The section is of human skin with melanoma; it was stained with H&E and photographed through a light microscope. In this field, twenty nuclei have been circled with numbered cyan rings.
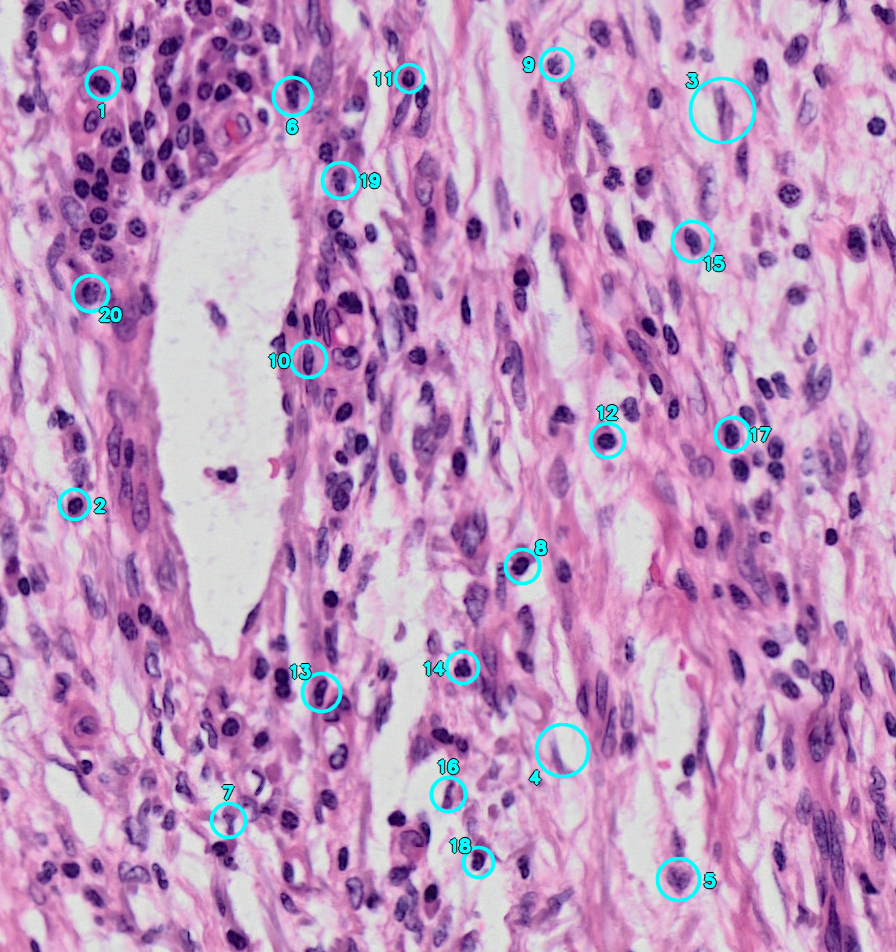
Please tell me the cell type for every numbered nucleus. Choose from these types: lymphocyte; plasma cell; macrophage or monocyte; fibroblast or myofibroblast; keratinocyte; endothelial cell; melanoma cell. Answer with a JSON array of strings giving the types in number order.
["plasma cell", "plasma cell", "fibroblast or myofibroblast", "fibroblast or myofibroblast", "macrophage or monocyte", "plasma cell", "fibroblast or myofibroblast", "plasma cell", "lymphocyte", "lymphocyte", "plasma cell", "plasma cell", "plasma cell", "lymphocyte", "lymphocyte", "fibroblast or myofibroblast", "plasma cell", "plasma cell", "plasma cell", "plasma cell"]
